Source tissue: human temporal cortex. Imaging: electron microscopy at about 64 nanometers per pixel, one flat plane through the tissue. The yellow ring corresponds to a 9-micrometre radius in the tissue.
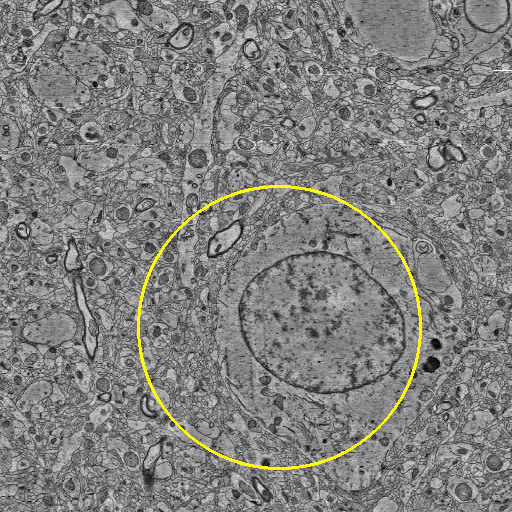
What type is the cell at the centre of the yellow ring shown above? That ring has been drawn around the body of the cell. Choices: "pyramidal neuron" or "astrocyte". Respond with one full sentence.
My answer is that a pyramidal neuron lies at the centre of the yellow ring above.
